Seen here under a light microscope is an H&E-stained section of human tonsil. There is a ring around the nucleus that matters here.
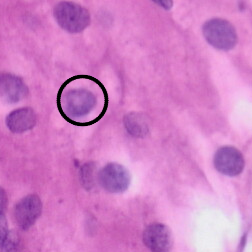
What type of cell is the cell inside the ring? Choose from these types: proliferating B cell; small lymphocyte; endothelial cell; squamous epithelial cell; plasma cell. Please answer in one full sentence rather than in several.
Cell type answer for this item: the cell inside the ring is a squamous epithelial cell.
